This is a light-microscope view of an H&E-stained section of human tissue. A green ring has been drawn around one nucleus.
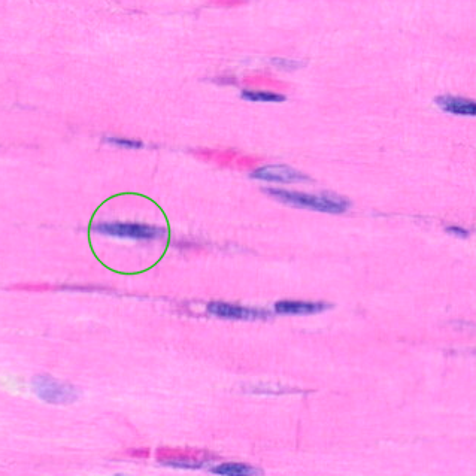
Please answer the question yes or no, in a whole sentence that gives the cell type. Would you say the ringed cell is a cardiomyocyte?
No, the ringed cell is not a cardiomyocyte but an endothelial cell.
